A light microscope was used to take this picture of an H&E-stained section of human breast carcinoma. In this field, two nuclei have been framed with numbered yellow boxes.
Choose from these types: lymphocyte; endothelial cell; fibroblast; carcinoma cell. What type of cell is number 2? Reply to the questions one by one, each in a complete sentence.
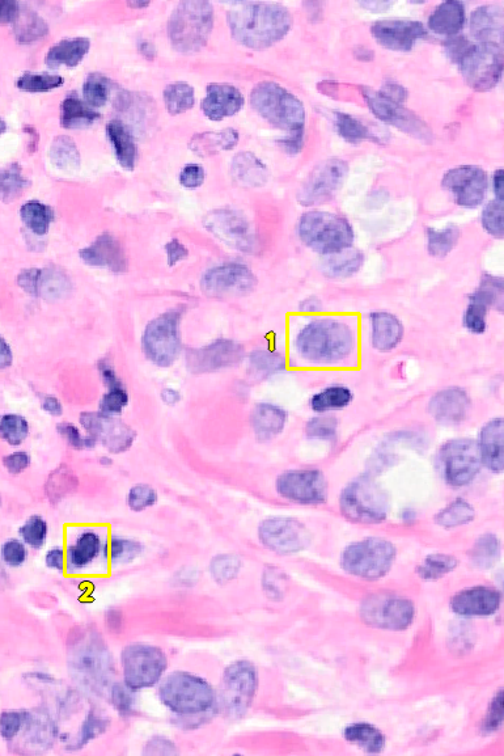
The cell that goes by number 2 is a lymphocyte.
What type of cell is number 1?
The cell that bears the number 1 is a carcinoma cell.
